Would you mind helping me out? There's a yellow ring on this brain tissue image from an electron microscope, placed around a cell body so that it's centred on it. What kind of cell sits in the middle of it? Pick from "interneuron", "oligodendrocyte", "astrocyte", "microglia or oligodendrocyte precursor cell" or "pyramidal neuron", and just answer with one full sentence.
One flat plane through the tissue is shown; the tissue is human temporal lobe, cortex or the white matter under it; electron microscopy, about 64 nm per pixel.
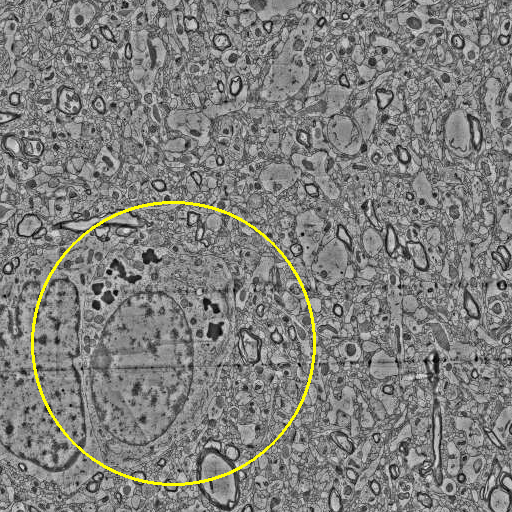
What sits in the middle of that yellow ring is an interneuron, from your choices.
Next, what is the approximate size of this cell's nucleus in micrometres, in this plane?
About 10 by 6 micrometers in this plane, so the nucleus is clearly longer than it is wide.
